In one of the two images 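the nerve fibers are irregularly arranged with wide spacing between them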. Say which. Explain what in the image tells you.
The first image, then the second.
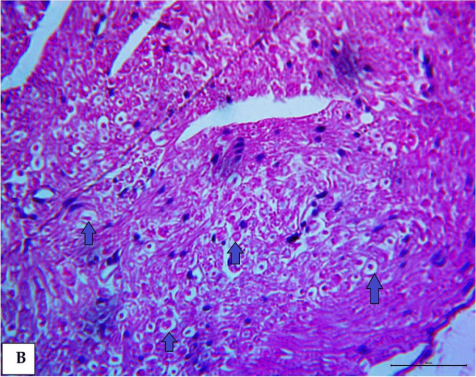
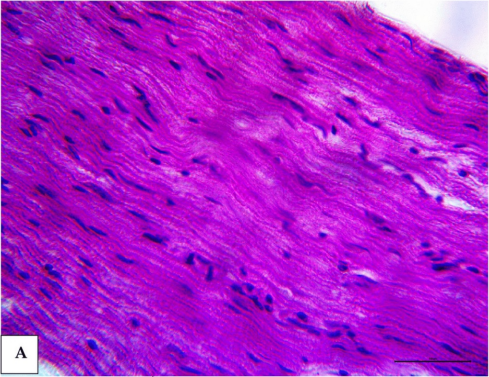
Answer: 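First image: fibers are disordered, with many pale gaps and round clear spaces. Second image: fibers run in tight parallel wavy lines with elongated nuclei aligned along them. So: the first image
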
